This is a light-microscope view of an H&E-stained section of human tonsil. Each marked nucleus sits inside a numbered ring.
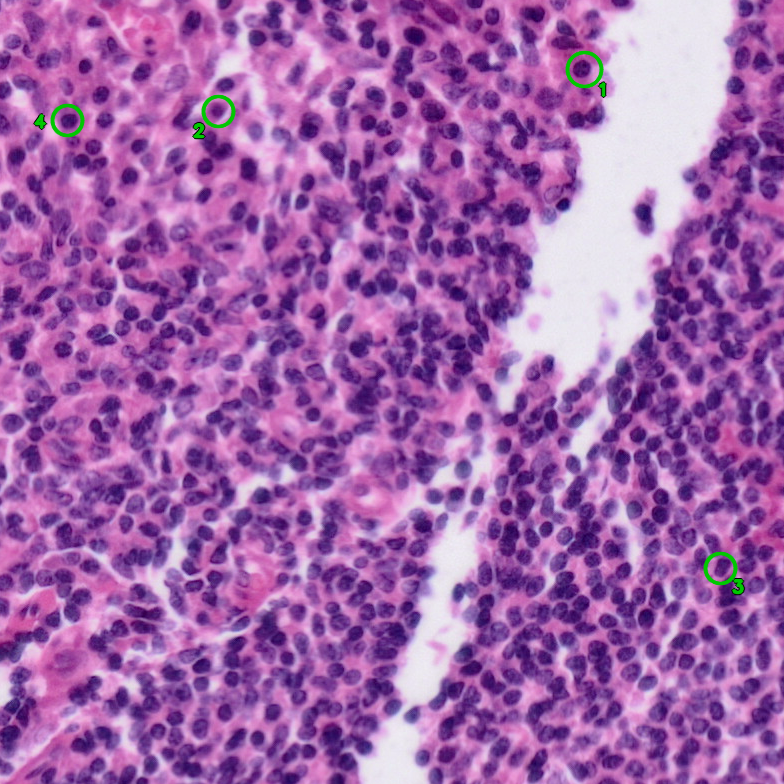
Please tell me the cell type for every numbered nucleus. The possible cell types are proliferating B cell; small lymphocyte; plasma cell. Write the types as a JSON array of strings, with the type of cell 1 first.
["plasma cell", "plasma cell", "small lymphocyte", "plasma cell"]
